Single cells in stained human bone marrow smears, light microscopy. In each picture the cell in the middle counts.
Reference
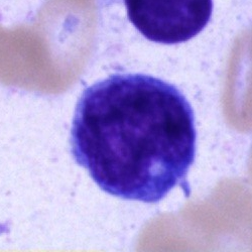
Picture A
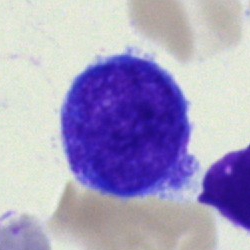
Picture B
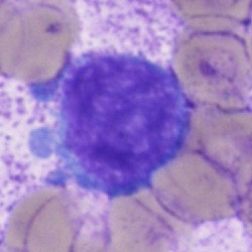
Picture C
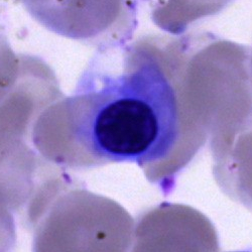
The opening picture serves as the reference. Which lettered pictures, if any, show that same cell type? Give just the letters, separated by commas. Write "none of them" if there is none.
A, B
